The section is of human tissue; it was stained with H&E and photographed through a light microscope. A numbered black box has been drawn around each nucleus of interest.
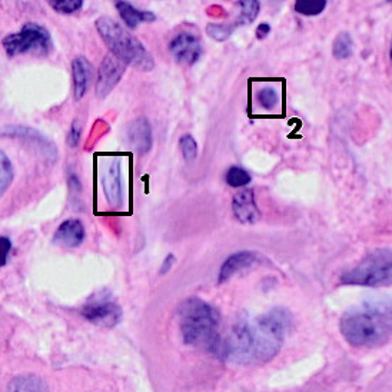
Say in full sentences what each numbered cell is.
Cell 1 is an endothelial cell and cell 2 is a lymphocyte.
